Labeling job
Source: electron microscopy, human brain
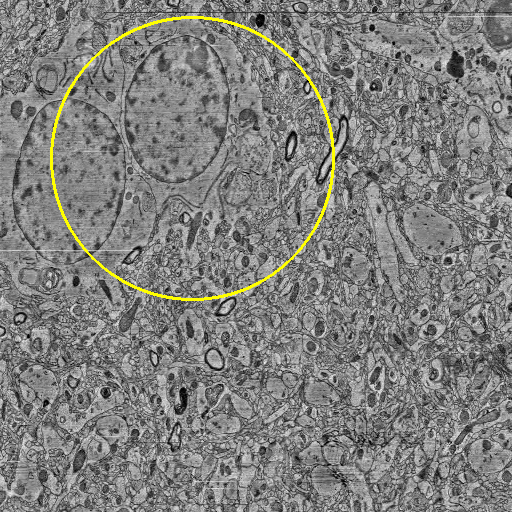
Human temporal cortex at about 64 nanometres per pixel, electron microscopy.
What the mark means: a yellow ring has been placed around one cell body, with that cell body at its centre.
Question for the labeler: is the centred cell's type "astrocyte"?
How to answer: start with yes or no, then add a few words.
Yes, that is its type.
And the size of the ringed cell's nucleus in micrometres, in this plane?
In this plane, approximately 10 by 7 micrometers.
